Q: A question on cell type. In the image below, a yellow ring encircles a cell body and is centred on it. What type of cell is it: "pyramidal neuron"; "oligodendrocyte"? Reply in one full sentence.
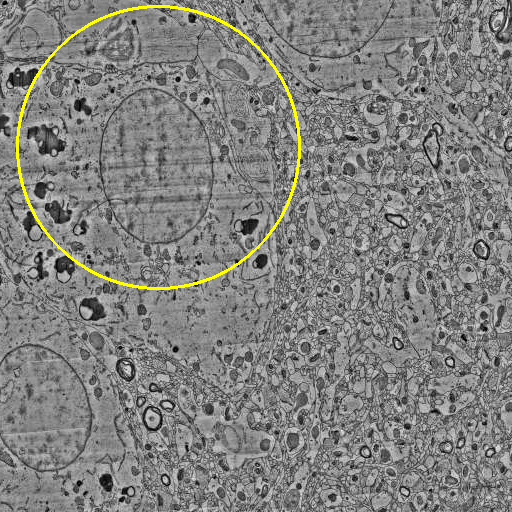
It is a pyramidal neuron whose cell body sits at the centre of the yellow ring in the image.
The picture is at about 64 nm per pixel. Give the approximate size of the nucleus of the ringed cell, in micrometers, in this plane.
The nucleus is approximately 10 micrometers long by 7 micrometers wide in this plane.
